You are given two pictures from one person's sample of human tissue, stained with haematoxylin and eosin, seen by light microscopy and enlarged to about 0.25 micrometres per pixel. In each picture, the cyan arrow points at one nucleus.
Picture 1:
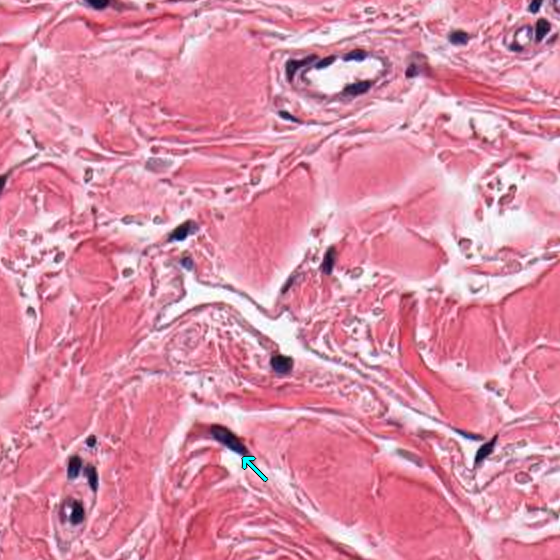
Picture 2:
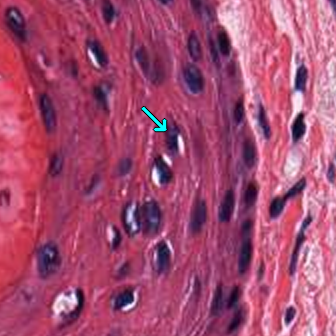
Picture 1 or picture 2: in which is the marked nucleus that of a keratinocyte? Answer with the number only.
2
